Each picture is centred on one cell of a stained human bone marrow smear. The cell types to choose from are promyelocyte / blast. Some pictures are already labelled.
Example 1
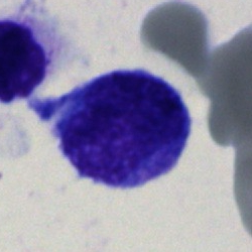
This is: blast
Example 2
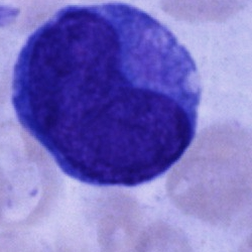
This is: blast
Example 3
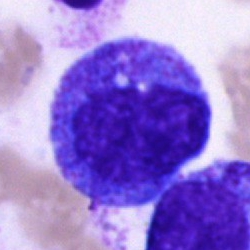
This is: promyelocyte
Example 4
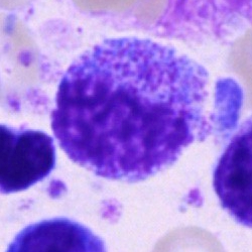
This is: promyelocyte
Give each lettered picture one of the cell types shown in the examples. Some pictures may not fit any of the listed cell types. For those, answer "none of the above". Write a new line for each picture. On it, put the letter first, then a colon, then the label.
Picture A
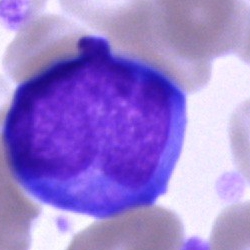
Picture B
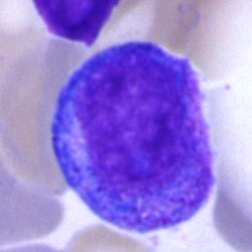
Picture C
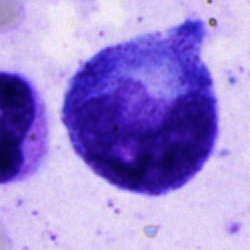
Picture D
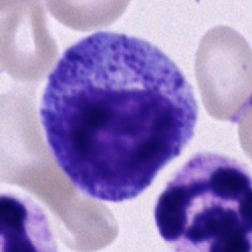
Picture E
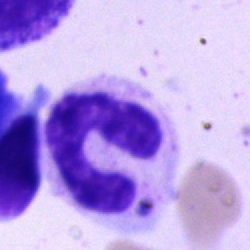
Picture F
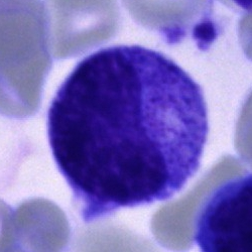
A: blast
B: promyelocyte
C: promyelocyte
D: promyelocyte
E: none of the above
F: promyelocyte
